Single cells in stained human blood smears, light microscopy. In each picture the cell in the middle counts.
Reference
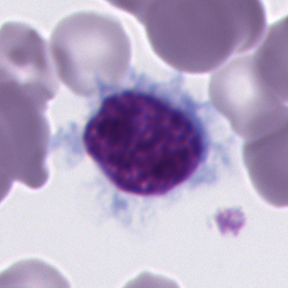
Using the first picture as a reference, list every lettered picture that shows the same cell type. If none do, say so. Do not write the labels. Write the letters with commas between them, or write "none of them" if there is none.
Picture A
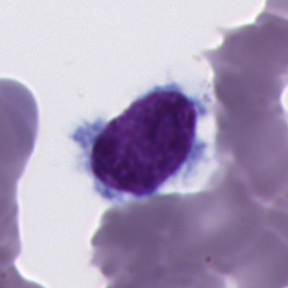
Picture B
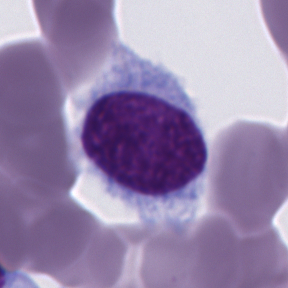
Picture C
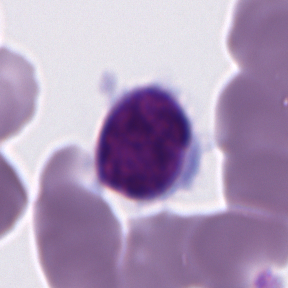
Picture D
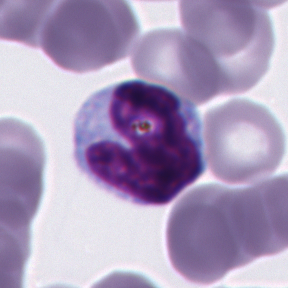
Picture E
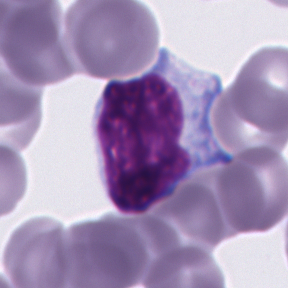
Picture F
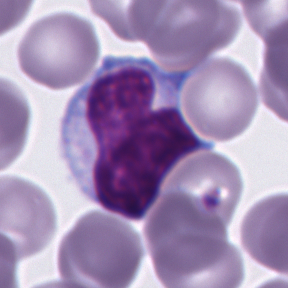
A, B, C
